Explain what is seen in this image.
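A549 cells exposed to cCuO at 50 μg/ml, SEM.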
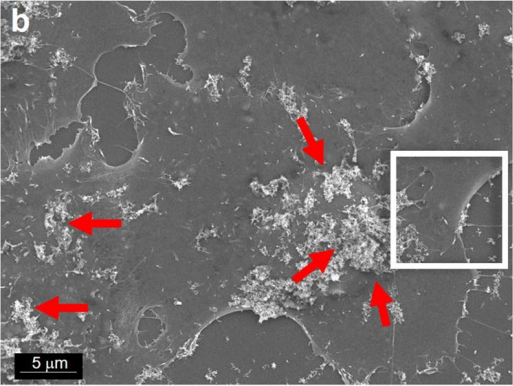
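Scanning electron micrograph of flattened cultured cells whose thin margins spread over the substrate. The cell bodies form a smooth, thin sheet with irregular edges and some rounded openings where the substrate shows through. Fine filamentous processes extend from the cell margins. Bright, granular clusters of tiny particles lie scattered over the cell surface and gather in larger heaps in the middle of the field. These clusters stand out against the smooth membrane by their rough texture and brightness.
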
